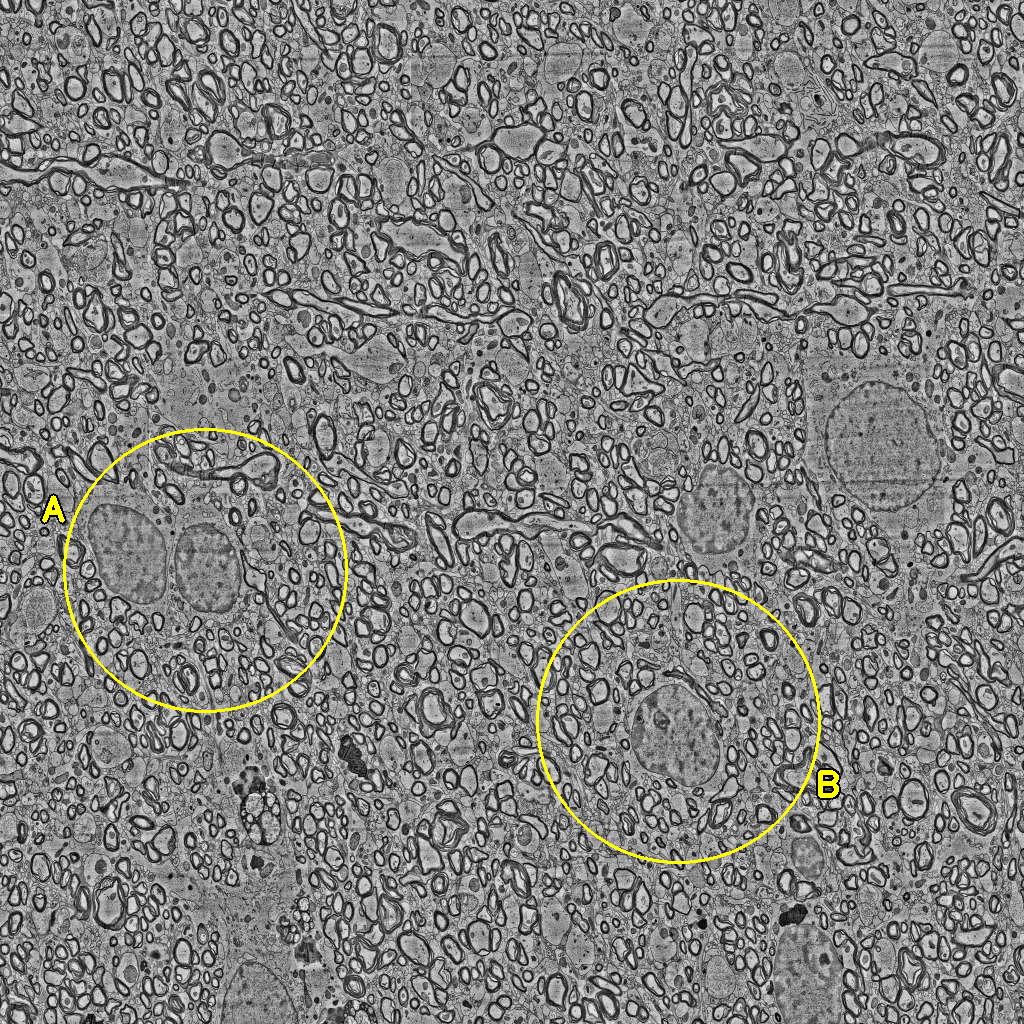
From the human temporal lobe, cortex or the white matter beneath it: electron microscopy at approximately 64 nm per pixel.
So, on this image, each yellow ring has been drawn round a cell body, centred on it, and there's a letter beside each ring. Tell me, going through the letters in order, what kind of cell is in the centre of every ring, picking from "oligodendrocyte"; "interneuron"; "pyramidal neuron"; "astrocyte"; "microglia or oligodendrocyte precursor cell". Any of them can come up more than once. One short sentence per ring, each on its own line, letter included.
Ring A has been drawn round an oligodendrocyte.
Ring B has been drawn round a microglial cell or oligodendrocyte precursor cell.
